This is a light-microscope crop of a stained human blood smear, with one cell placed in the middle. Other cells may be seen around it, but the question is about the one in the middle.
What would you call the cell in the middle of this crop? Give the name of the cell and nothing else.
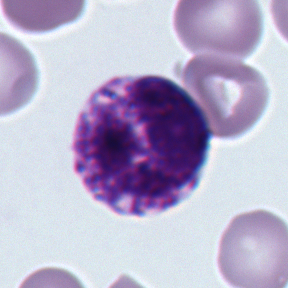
basophil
